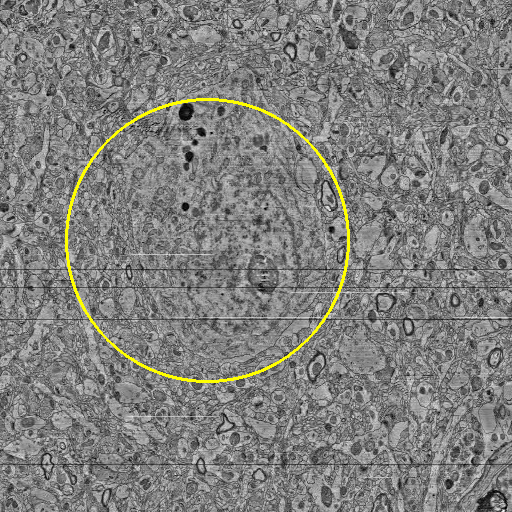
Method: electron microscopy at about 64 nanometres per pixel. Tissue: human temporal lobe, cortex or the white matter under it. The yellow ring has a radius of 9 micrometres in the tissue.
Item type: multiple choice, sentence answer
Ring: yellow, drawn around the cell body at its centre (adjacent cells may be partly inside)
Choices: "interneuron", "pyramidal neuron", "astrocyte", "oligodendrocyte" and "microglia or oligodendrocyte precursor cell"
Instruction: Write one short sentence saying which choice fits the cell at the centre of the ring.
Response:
This ring is drawn around an interneuron.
